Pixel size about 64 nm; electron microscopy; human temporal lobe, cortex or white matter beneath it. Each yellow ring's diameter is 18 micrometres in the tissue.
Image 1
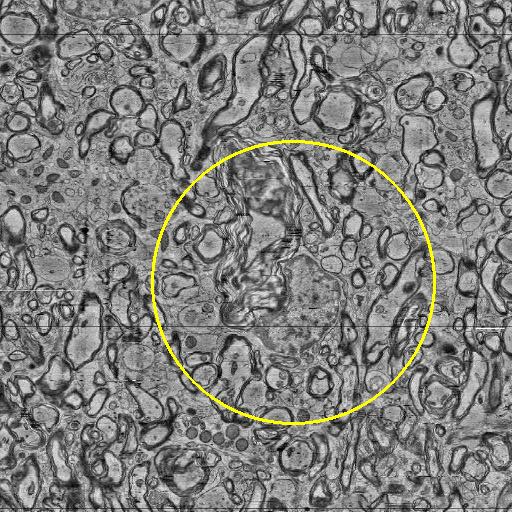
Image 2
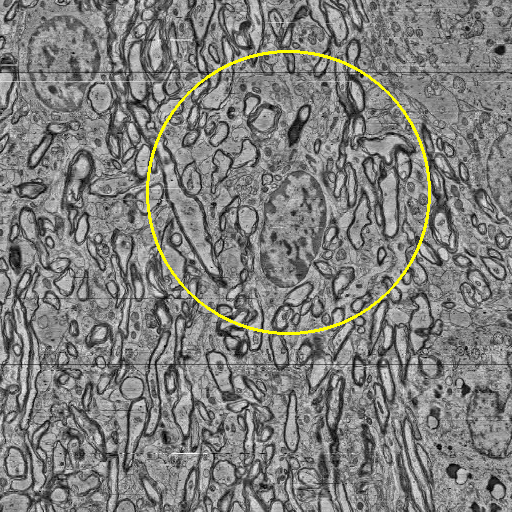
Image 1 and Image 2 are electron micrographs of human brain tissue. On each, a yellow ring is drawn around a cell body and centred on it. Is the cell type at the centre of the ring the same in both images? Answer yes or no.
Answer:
no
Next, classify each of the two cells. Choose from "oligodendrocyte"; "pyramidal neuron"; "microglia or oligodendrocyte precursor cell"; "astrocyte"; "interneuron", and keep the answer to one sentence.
In the first picture it is an oligodendrocyte; in the second it is a microglial cell or oligodendrocyte precursor cell.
